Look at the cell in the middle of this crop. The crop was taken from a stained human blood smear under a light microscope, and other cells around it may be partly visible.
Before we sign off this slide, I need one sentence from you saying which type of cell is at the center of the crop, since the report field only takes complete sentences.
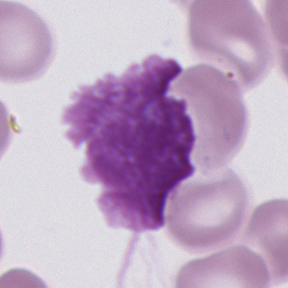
In the crop, the cell of interest at the centre is a smudge cell.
